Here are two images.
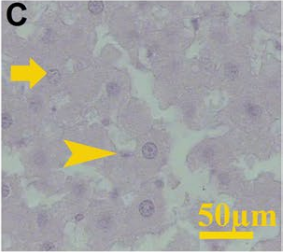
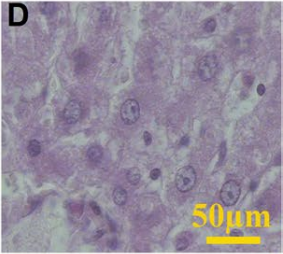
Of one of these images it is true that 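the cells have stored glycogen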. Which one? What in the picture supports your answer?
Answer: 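First image: cell cytoplasm is pale lilac. Second image: cell cytoplasm is deeper purple and more granular. The answer: the second image.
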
